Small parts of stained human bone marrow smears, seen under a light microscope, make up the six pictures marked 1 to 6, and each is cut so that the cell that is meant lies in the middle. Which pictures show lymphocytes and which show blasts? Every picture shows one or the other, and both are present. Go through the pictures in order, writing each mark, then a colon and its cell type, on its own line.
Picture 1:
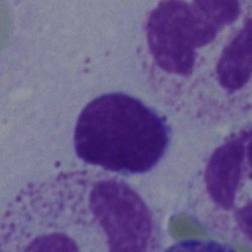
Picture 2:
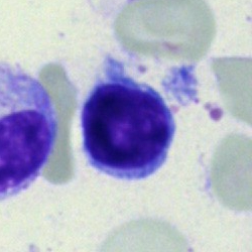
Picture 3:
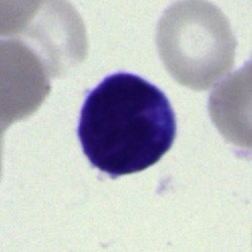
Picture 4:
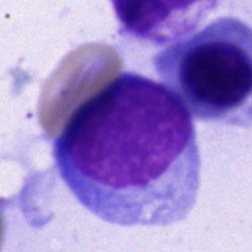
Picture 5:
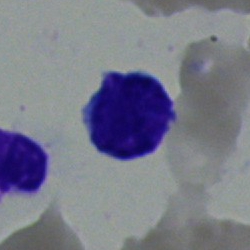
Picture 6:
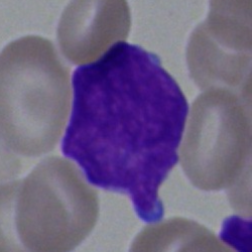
1: lymphocyte
2: lymphocyte
3: blast
4: blast
5: lymphocyte
6: blast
